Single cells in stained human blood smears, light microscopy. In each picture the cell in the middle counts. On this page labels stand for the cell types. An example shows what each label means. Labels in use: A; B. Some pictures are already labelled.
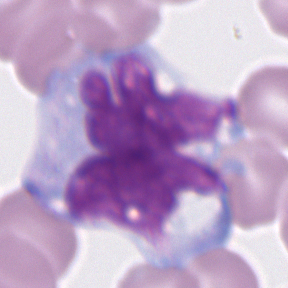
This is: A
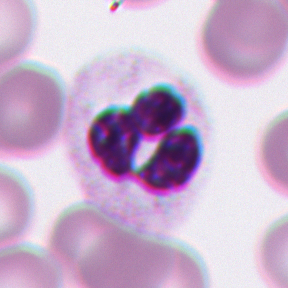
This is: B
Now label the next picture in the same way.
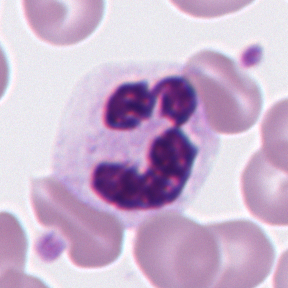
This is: B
